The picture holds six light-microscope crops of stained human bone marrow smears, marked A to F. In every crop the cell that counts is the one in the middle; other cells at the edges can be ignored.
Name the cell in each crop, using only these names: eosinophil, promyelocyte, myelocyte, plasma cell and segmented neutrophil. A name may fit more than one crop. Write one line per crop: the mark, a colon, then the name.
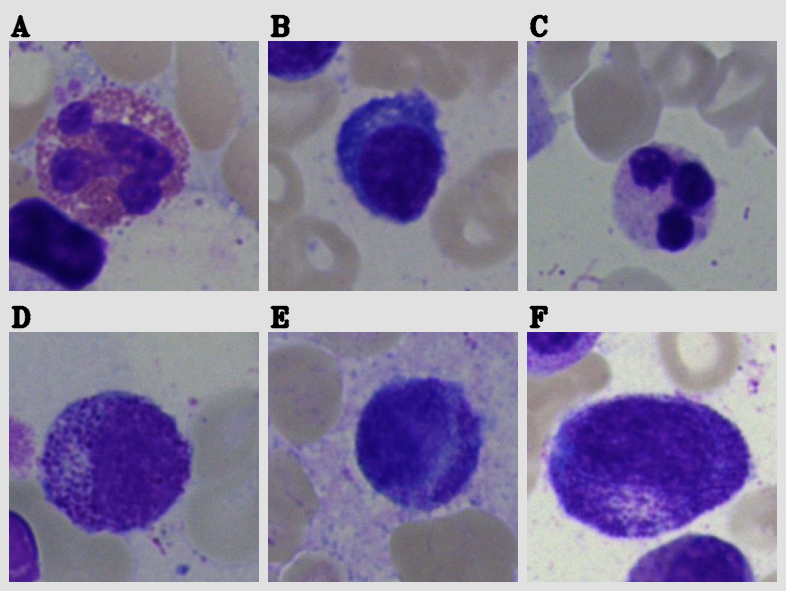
A: eosinophil
B: plasma cell
C: segmented neutrophil
D: myelocyte
E: myelocyte
F: promyelocyte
